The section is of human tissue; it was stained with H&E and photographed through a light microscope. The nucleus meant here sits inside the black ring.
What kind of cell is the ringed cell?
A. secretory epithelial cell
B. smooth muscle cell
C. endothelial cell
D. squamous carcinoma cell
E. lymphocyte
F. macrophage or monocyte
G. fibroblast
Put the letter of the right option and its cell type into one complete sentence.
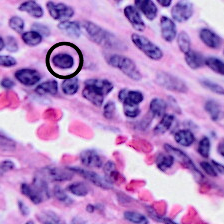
Option E is the correct one: the ringed cell is a lymphocyte.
